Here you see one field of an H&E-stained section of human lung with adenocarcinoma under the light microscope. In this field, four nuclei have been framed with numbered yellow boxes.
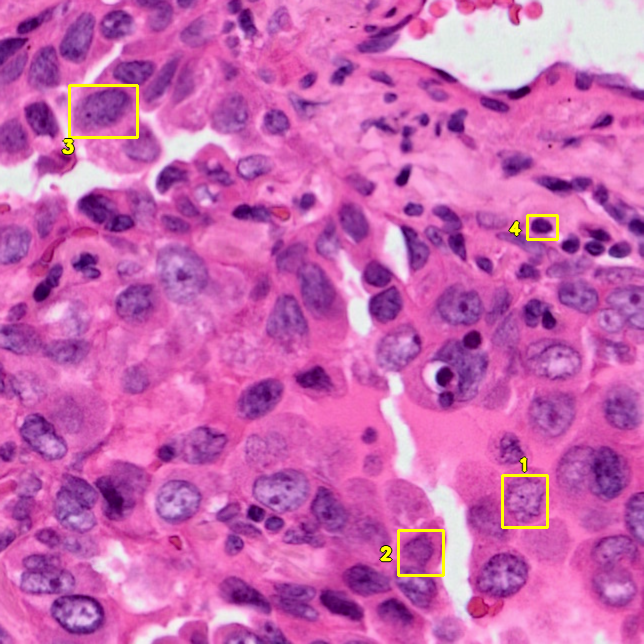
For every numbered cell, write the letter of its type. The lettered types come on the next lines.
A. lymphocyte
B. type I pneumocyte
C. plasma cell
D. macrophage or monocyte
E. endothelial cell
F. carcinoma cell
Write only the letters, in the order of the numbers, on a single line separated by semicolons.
F; F; F; A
